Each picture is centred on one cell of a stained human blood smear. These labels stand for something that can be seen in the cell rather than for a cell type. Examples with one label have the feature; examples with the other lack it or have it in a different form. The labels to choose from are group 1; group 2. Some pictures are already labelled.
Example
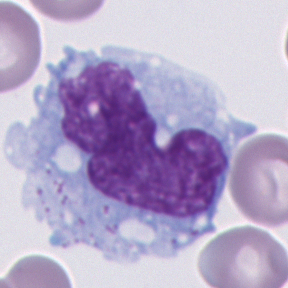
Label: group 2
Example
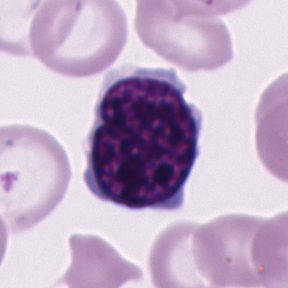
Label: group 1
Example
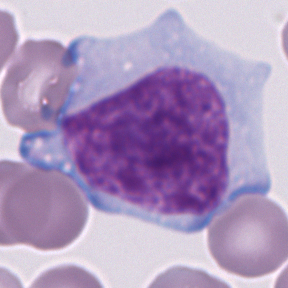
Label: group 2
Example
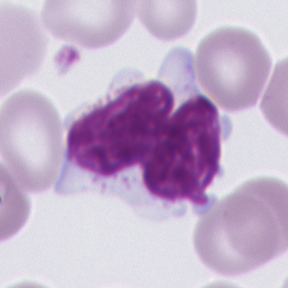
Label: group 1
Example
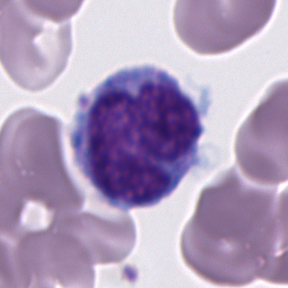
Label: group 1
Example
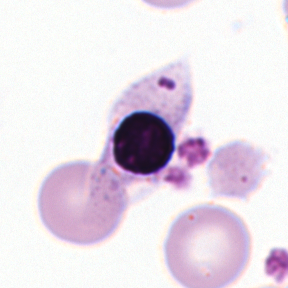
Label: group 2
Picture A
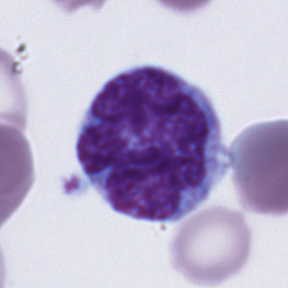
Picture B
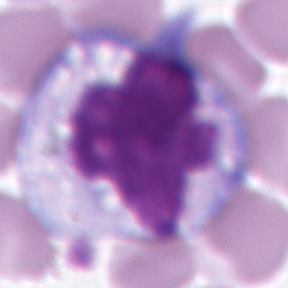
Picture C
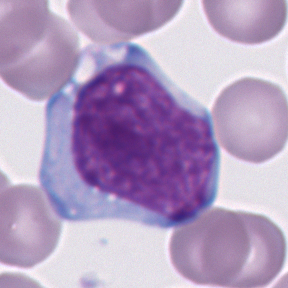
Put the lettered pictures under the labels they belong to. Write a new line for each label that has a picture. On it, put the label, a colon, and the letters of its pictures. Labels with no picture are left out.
group 1: A
group 2: B, C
